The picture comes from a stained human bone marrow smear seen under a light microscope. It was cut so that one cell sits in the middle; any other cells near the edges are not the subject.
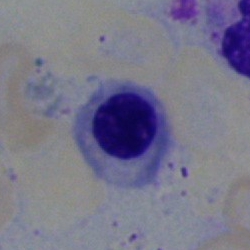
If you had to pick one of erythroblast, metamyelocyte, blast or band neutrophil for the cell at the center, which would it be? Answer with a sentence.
The cell sitting right in the middle is an erythroblast.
